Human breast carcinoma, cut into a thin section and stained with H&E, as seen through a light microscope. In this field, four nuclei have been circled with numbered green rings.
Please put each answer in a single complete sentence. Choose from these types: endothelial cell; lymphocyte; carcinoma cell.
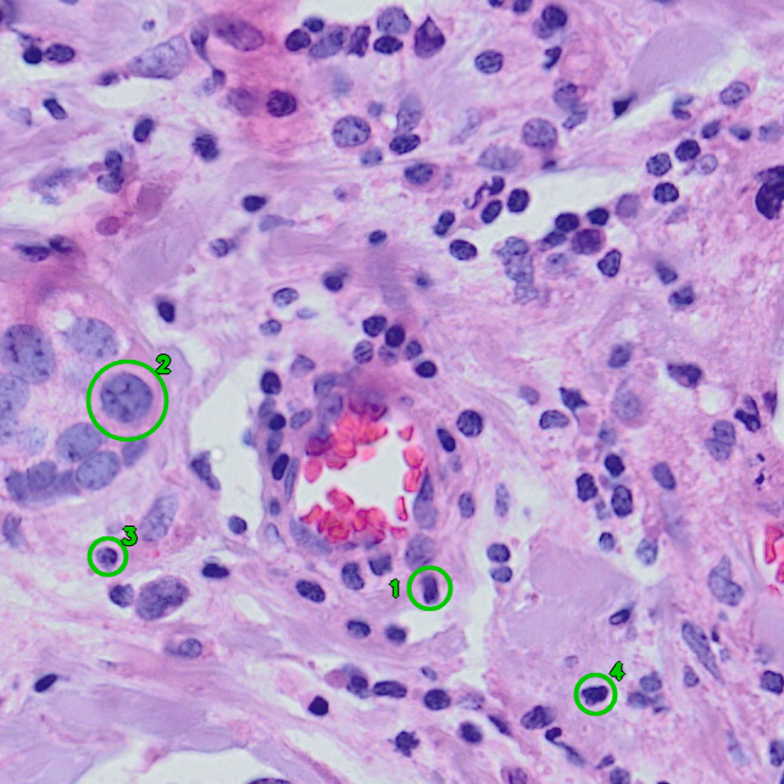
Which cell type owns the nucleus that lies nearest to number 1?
Closest to number 1 lies the nucleus of an endothelial cell.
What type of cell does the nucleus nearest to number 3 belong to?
Closest to number 3 lies the nucleus of a lymphocyte.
